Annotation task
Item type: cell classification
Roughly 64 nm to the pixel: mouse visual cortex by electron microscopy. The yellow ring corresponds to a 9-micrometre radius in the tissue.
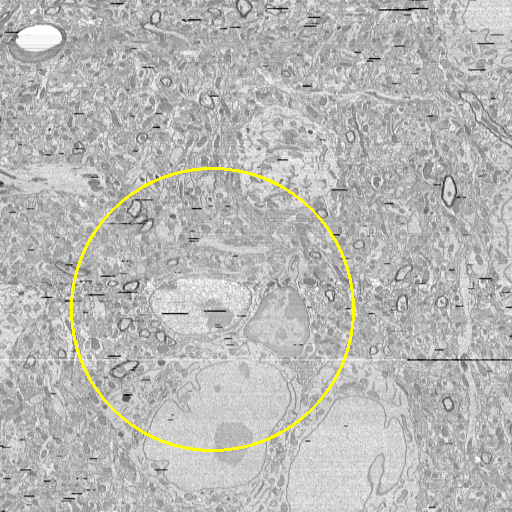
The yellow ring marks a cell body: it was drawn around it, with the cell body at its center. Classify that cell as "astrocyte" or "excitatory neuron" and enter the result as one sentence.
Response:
The ring's center falls on an astrocyte.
